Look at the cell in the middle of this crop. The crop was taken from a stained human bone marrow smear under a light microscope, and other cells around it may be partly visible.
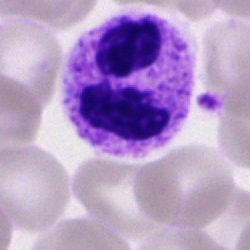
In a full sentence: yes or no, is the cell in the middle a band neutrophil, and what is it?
No, the central cell is identified not as a band neutrophil but as a segmented neutrophil.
